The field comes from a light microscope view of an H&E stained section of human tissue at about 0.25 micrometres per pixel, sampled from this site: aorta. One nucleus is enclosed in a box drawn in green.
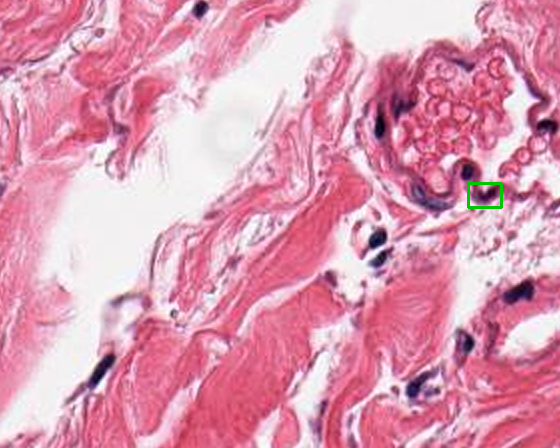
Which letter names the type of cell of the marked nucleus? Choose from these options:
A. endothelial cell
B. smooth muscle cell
A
